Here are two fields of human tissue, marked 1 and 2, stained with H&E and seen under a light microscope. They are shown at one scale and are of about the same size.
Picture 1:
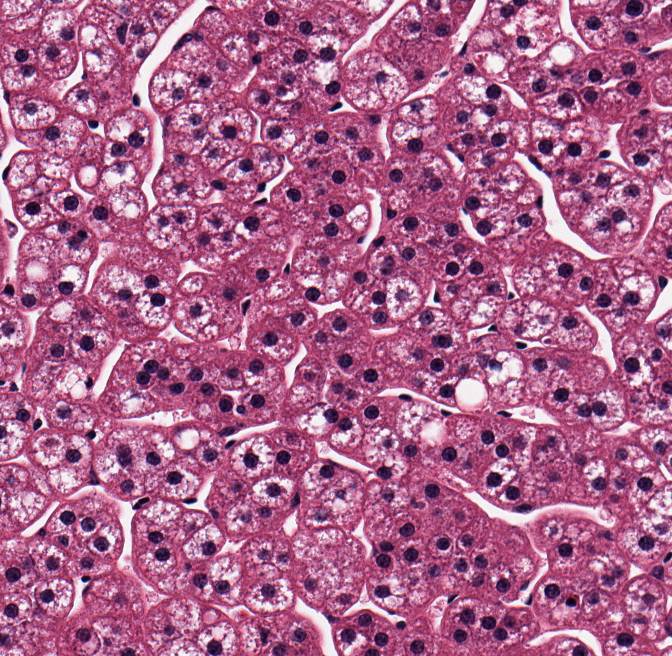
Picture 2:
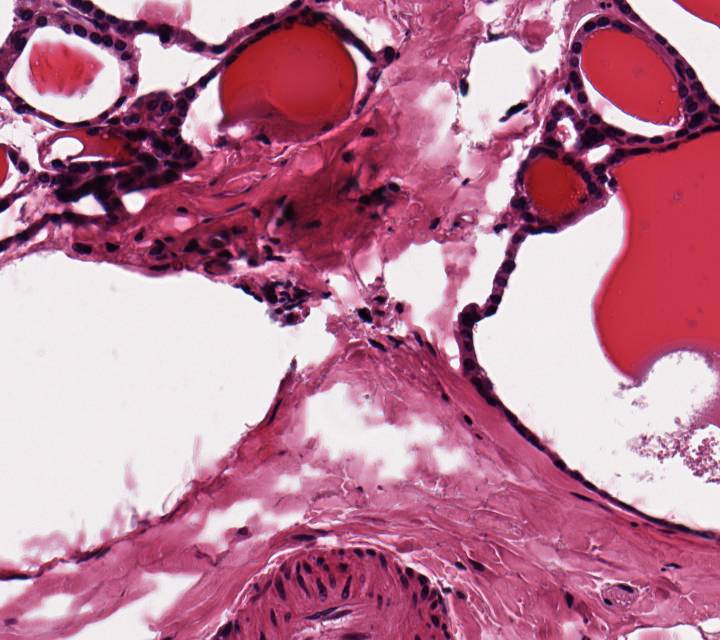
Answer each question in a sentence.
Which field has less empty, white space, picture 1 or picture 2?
Less of picture 1 is empty and white.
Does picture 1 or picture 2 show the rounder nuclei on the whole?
On the whole the nuclei of picture 1 are rounder than those of picture 2.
